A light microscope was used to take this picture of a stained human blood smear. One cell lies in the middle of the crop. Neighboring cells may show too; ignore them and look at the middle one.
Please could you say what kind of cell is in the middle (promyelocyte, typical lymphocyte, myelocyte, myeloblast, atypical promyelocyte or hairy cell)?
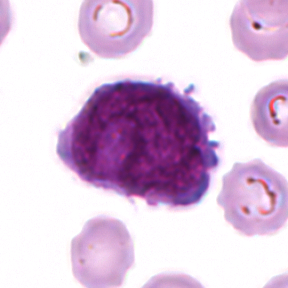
atypical promyelocyte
